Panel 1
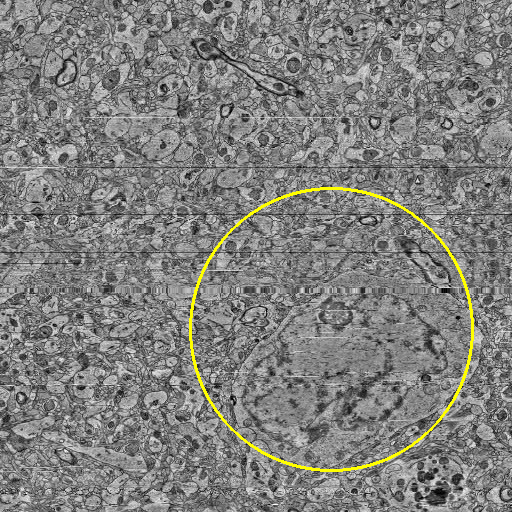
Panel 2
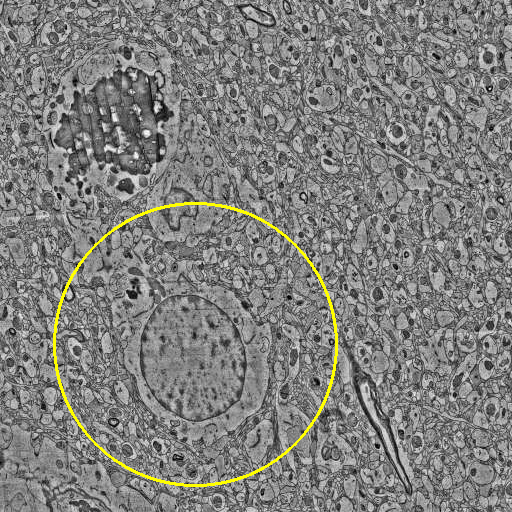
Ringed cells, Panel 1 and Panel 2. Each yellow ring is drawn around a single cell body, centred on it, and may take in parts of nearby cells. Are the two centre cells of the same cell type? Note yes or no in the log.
no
